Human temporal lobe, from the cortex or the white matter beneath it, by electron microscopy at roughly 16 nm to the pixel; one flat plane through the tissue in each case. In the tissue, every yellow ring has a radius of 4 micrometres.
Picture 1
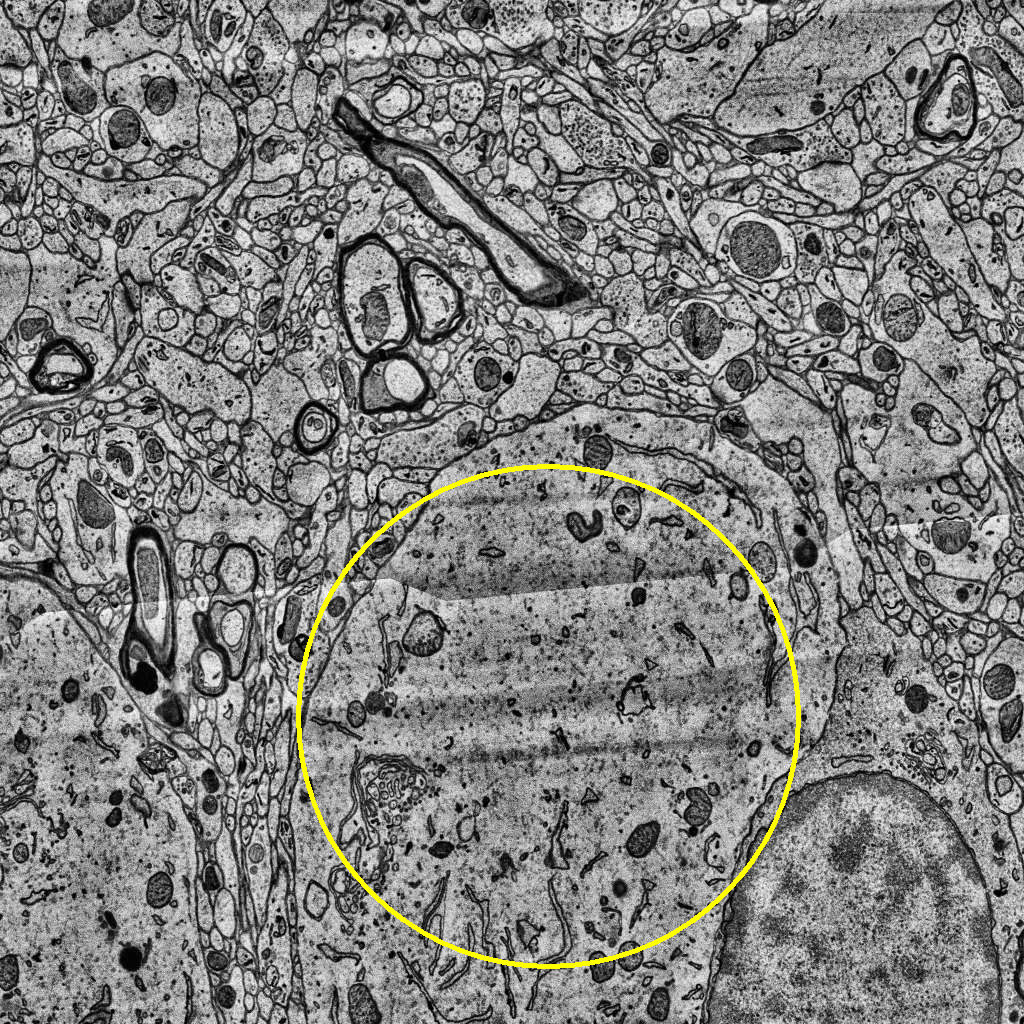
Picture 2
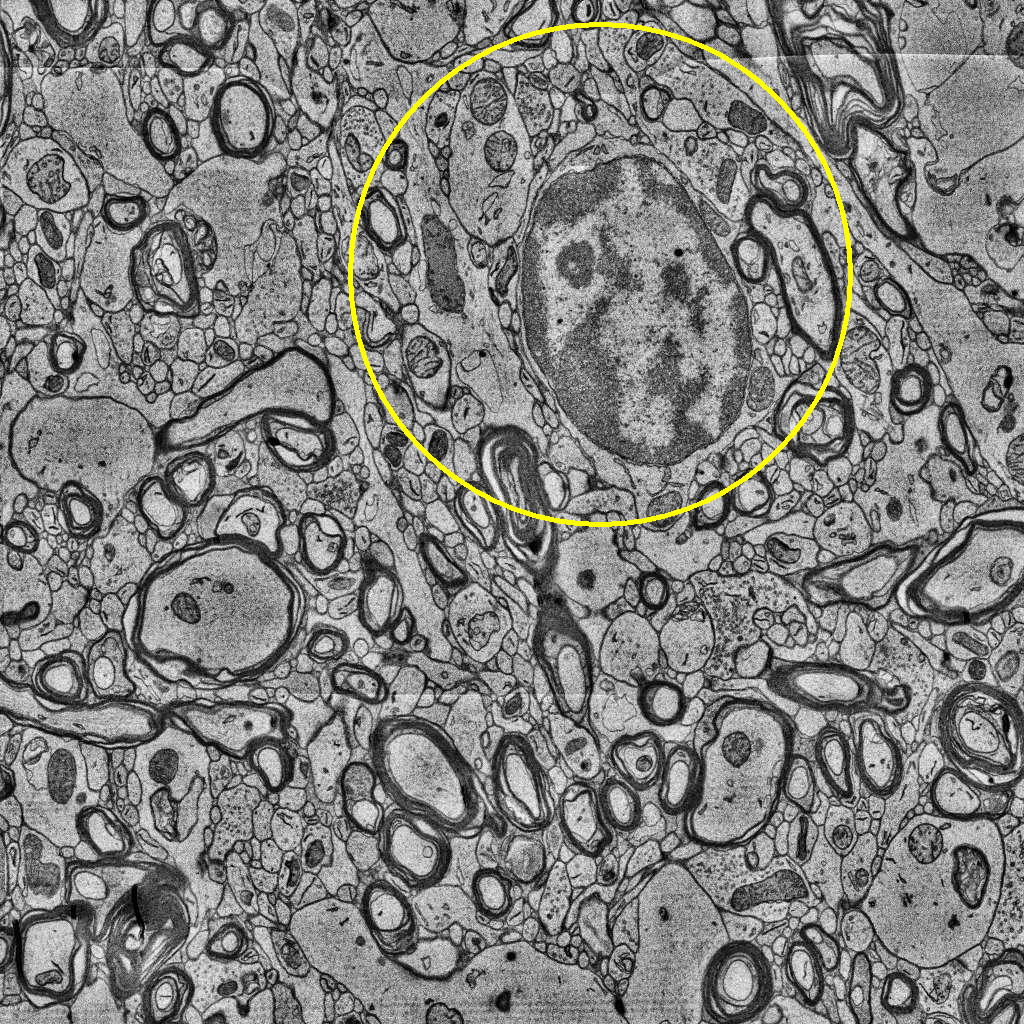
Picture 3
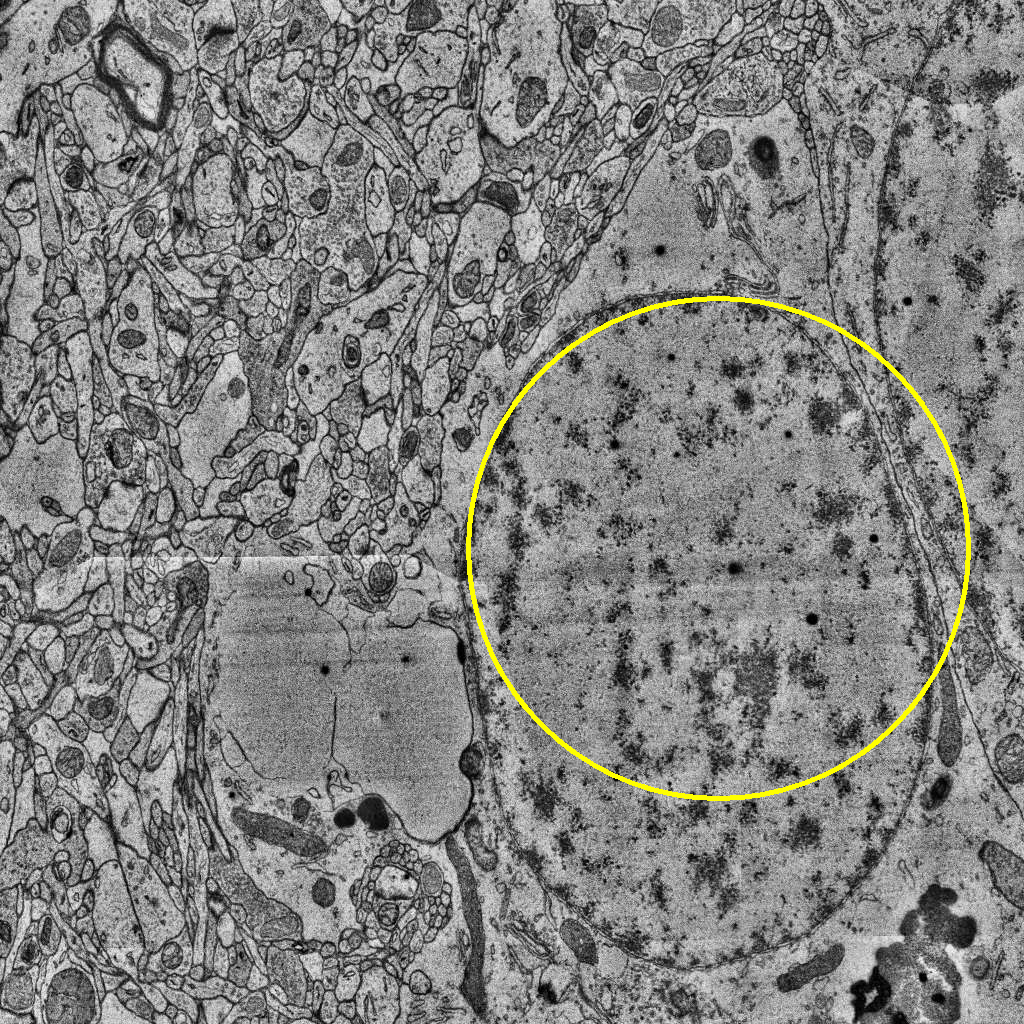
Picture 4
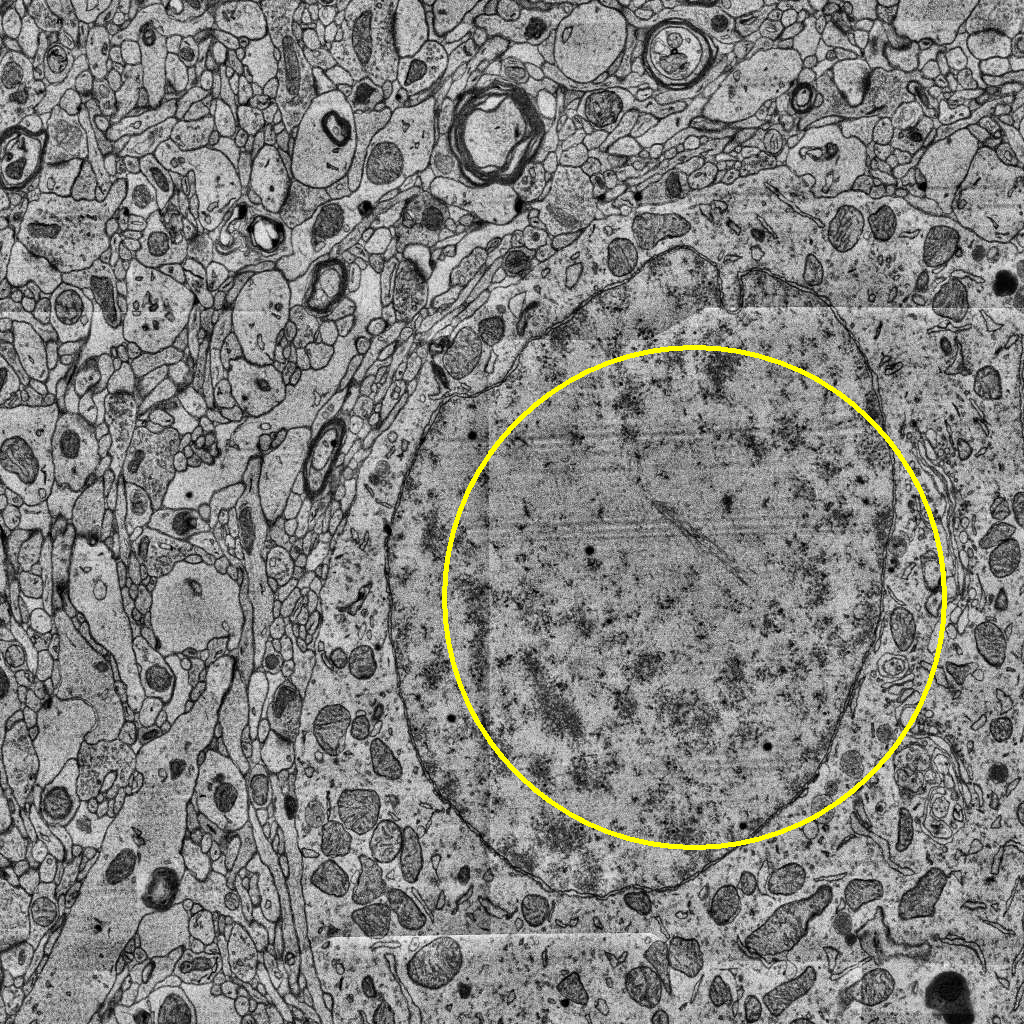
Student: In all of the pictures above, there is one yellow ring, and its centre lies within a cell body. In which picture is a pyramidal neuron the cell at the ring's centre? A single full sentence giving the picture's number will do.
Picture number 1 has the centre of its ring lying inside the wanted cell.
